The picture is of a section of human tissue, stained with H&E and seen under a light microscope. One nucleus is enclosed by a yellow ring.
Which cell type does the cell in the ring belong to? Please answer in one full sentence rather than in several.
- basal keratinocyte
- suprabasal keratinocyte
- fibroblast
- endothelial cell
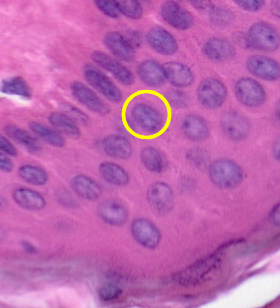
As far as its identity is concerned, the cell in the ring is a suprabasal keratinocyte.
